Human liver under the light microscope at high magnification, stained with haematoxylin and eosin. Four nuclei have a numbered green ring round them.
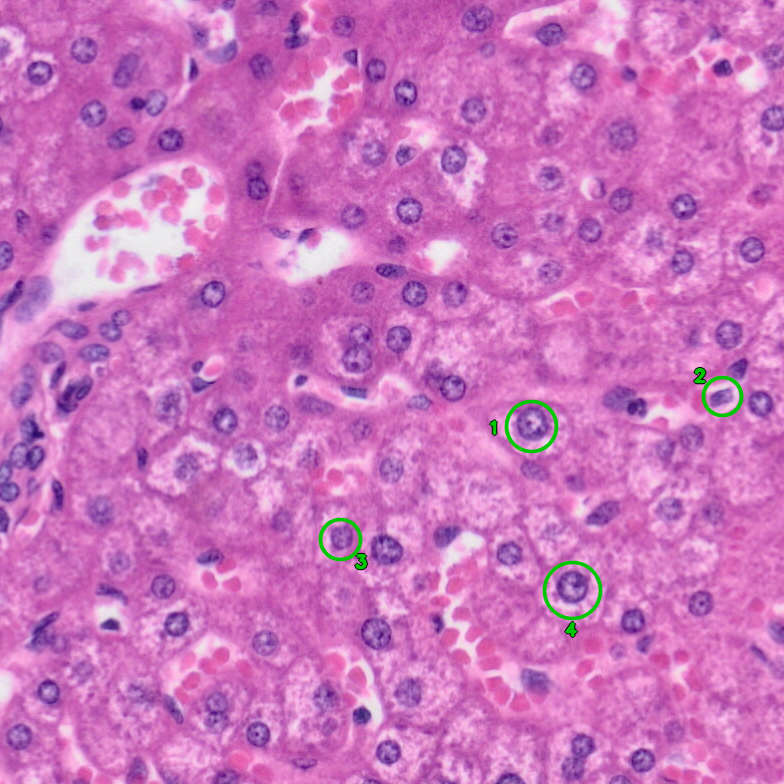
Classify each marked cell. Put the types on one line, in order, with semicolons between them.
hepatocyte; lymphocyte; hepatocyte; hepatocyte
